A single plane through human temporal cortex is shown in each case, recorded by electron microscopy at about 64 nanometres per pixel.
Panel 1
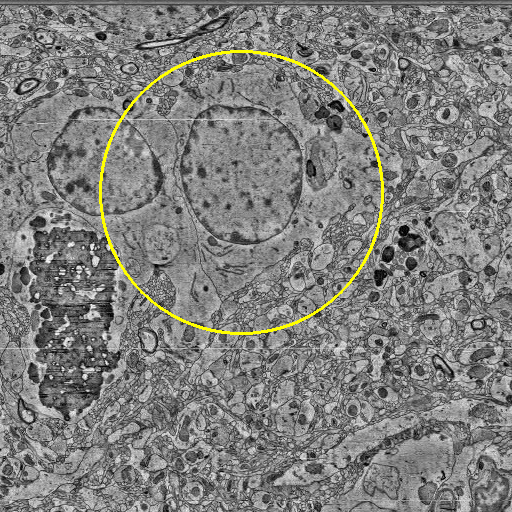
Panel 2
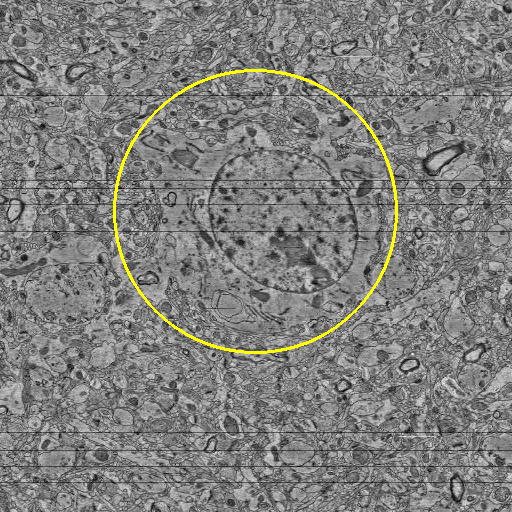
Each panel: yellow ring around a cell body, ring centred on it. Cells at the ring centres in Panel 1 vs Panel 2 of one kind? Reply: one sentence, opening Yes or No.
Yes, Panel 1 and Panel 2 have cells of one kind at the ring centres.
